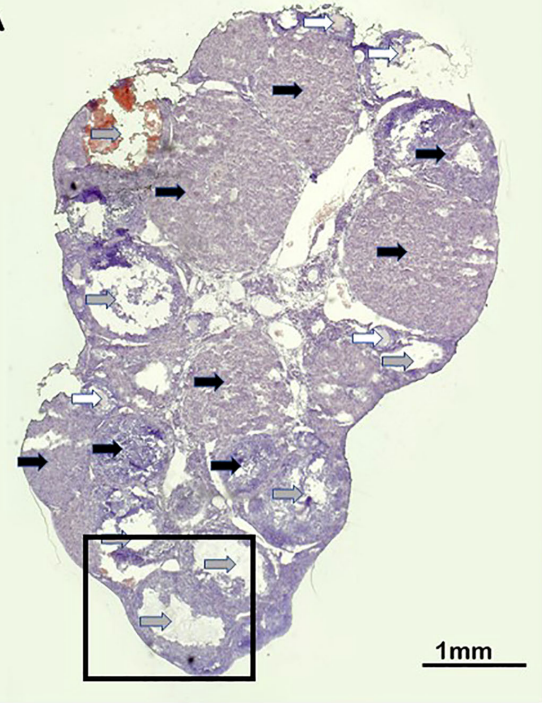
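This is a whole section of an ovary dominated by many large, round corpora lutea. Most are solid bodies of evenly packed, pale pink-purple cells, while several others have large empty central cavities, and one near the upper edge contains red blood. Smaller follicles and loose stroma lie between these bodies.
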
